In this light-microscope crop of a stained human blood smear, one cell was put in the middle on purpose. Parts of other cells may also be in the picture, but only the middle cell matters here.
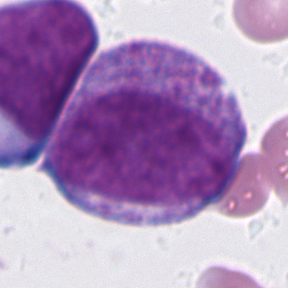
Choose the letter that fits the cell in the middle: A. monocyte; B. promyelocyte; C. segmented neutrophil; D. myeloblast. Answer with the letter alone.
B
